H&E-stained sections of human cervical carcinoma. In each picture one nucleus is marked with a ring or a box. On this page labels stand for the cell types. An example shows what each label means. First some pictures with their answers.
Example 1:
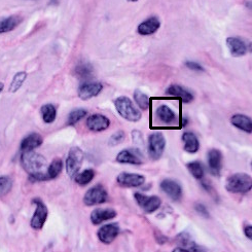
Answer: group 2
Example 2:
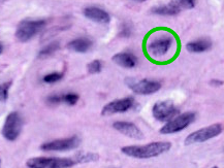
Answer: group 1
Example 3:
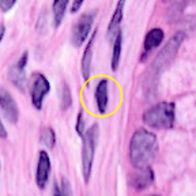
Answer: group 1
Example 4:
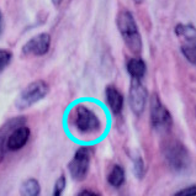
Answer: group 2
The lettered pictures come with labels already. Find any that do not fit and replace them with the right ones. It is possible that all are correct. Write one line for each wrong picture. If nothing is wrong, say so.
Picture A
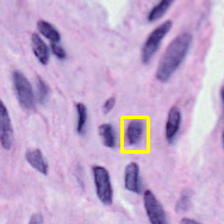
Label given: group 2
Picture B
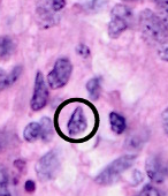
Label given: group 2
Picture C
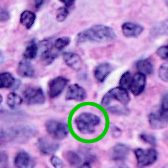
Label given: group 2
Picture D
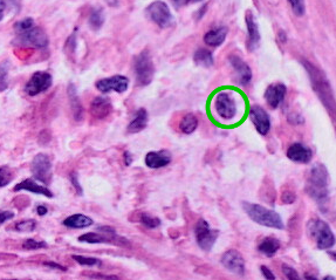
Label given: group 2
A: change group 2 to group 1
